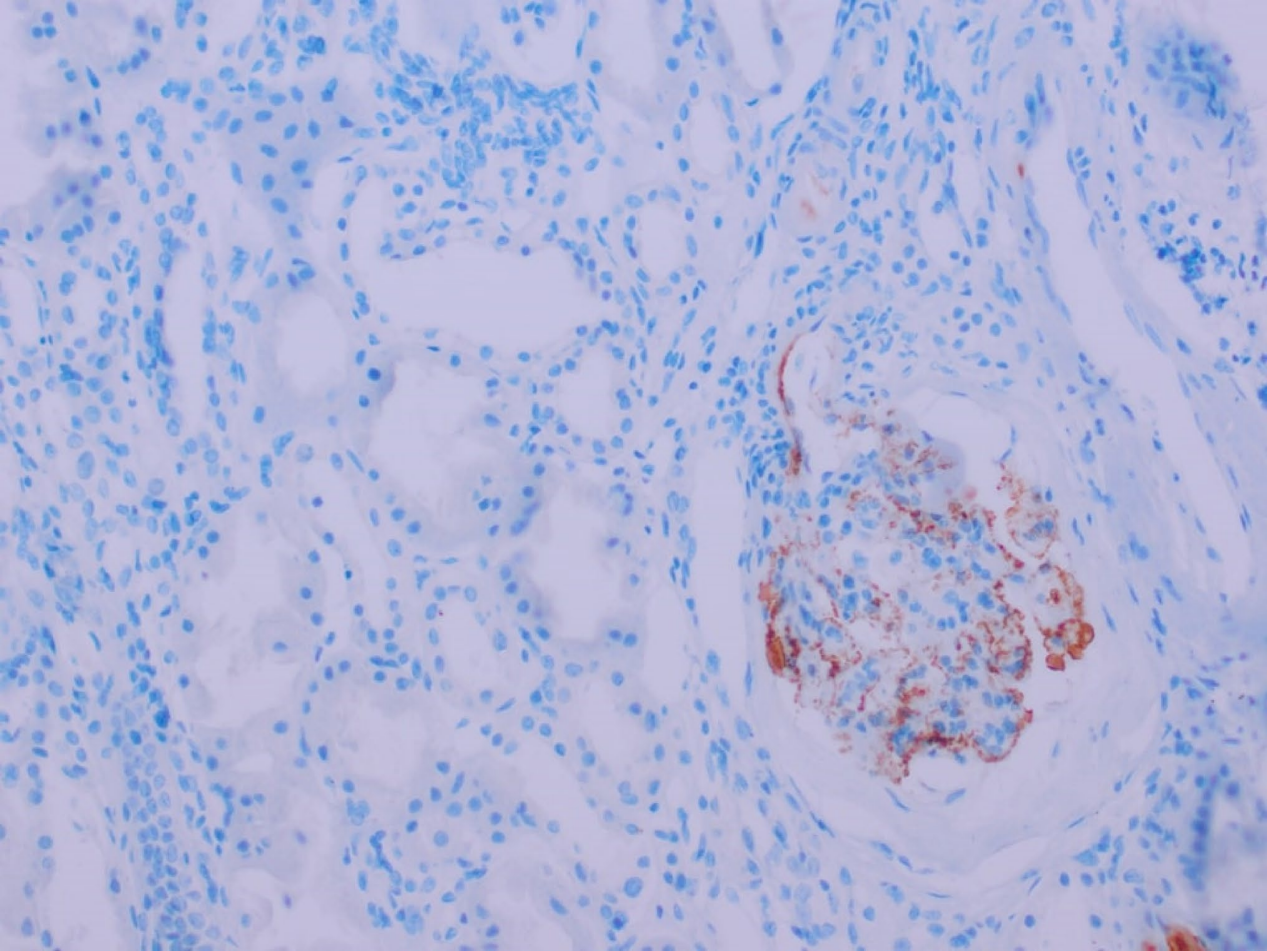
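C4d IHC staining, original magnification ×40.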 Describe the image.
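This is a section of kidney cortex. Its background is made of tubules, some with open lumens, lined by cuboidal epithelium with blue nuclei. These tubules carry no brown stain. On the right lies a rounded tuft of cells inside a clear space, bounded by a thin capsule and a layer of fibrous tissue. Brown granular to linear stain traces the loops of this tuft, so the stain sits along the capillary walls of a glomerulus, while the tissue around it stays blue.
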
